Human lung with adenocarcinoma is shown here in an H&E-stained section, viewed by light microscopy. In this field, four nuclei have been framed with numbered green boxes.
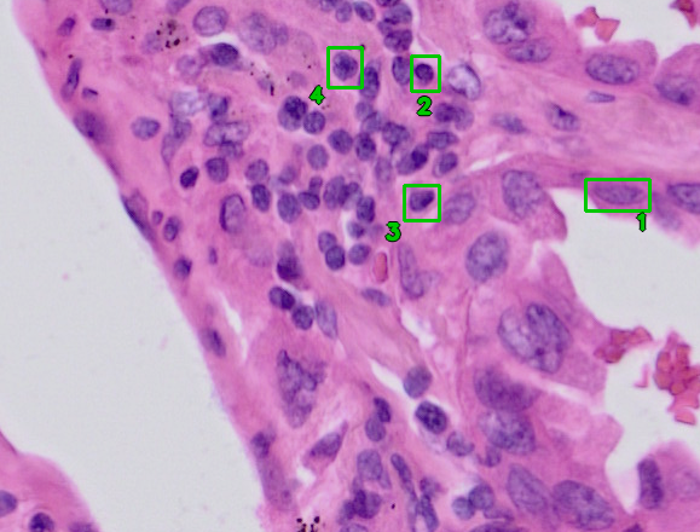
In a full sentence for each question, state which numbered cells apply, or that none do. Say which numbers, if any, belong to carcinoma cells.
The numbered cell that is a carcinoma cell is cell 1, and it is the only one.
